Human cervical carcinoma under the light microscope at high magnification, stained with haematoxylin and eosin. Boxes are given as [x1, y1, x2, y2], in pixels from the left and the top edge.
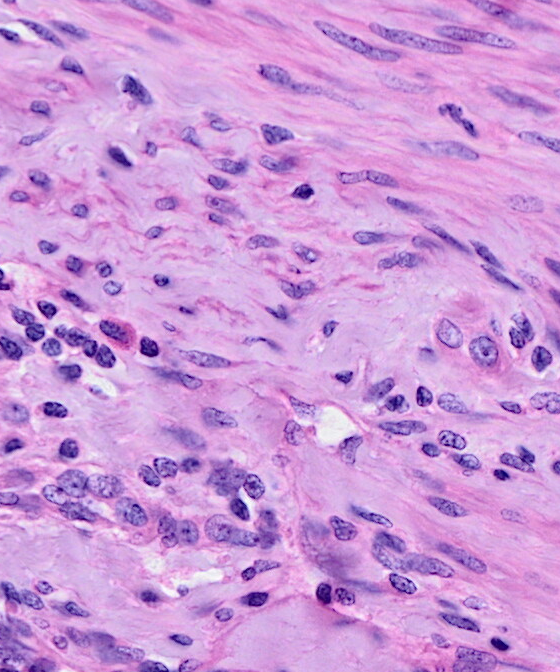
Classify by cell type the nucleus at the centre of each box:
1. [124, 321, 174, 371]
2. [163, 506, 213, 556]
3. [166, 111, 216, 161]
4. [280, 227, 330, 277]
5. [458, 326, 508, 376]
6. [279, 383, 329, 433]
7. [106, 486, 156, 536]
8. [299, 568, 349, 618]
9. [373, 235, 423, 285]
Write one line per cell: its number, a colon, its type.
1: lymphocyte
2: endothelial cell
3: smooth muscle cell
4: smooth muscle cell
5: endothelial cell
6: endothelial cell
7: endothelial cell
8: lymphocyte
9: smooth muscle cell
